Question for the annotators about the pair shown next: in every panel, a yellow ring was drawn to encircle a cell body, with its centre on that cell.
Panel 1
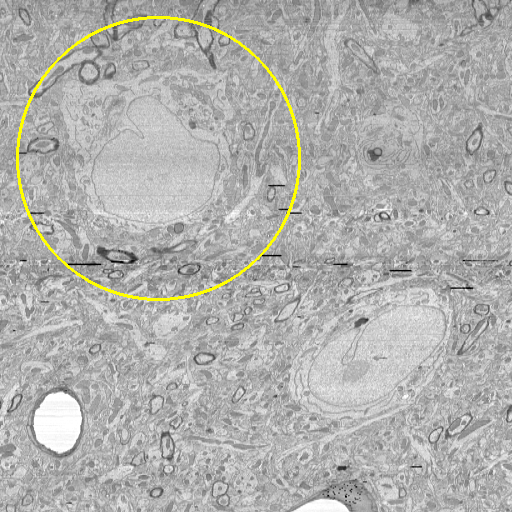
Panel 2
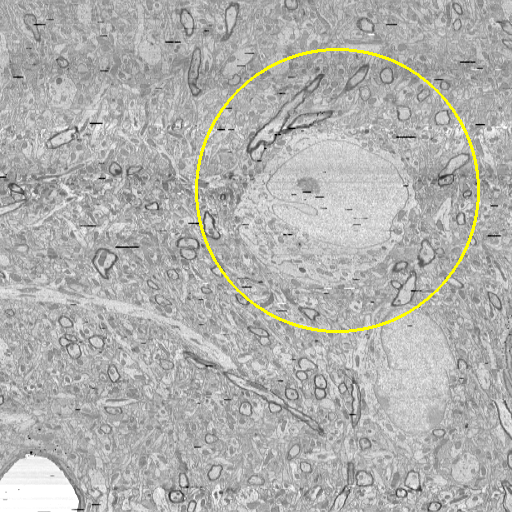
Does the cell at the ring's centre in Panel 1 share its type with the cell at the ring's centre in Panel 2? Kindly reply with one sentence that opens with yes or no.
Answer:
Yes, in Panels 1 and 2 the cells at the ring centres belong to a single type.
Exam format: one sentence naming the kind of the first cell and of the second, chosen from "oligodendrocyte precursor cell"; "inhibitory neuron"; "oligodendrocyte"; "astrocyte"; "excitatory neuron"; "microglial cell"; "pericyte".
Each of the ringed cells, first and second, is an excitatory neuron.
